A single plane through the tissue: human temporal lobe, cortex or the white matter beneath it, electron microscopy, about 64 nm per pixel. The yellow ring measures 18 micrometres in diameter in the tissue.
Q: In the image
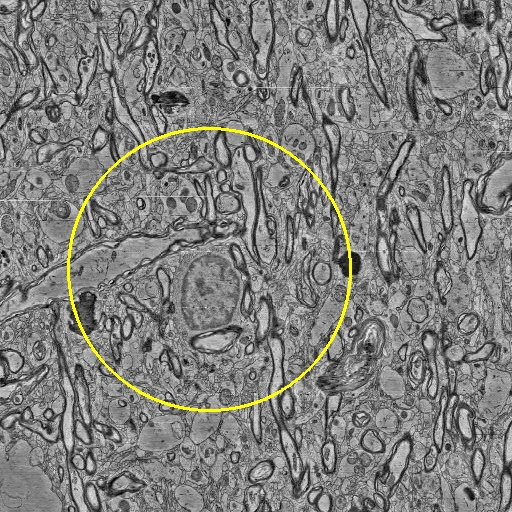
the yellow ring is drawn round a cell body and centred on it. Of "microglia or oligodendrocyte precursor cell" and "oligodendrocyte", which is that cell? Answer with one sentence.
The cell centred in the ring is an oligodendrocyte.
